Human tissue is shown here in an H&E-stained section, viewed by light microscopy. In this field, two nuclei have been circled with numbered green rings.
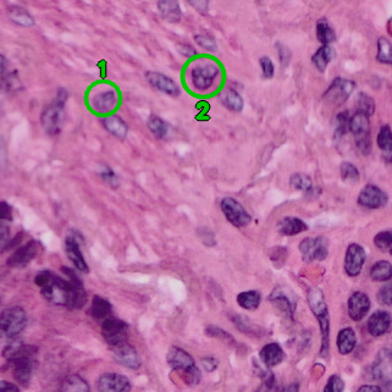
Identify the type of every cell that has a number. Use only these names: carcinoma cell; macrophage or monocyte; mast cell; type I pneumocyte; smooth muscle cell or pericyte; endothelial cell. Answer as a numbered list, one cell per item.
1. smooth muscle cell or pericyte
2. mast cell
